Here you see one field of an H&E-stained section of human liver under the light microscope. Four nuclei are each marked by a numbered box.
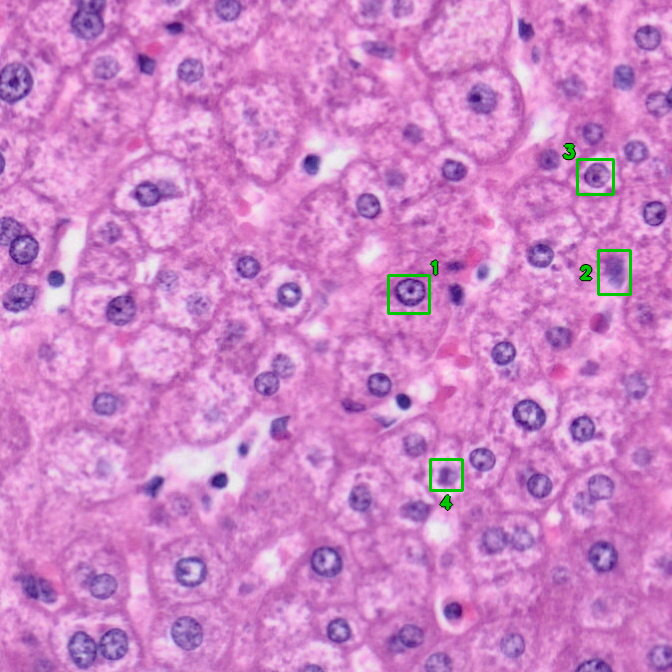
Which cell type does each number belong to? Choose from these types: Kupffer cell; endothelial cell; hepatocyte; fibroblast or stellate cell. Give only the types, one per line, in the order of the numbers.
hepatocyte
endothelial cell
hepatocyte
hepatocyte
